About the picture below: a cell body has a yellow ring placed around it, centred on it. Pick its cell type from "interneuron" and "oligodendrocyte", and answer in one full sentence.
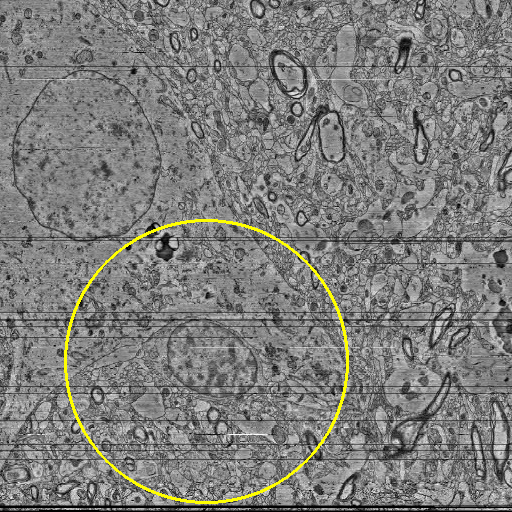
In the picture, an oligodendrocyte is the cell sitting at the centre of the yellow ring.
